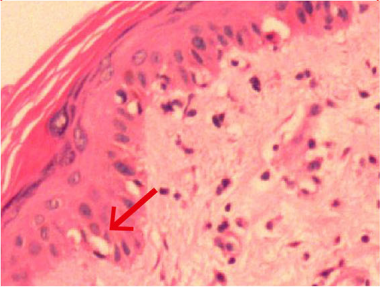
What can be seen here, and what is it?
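Epidermis and upper dermis of skin, with a pink layered cornified layer on top and keratinocytes with purple nuclei beneath. At the base of the epidermis, next to the dermis, clear vacuoles lie among the basal cells. The underlying dermis is loose and pale pink, with scattered cells having dark elongated or round nuclei.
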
